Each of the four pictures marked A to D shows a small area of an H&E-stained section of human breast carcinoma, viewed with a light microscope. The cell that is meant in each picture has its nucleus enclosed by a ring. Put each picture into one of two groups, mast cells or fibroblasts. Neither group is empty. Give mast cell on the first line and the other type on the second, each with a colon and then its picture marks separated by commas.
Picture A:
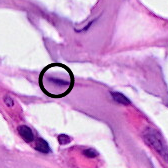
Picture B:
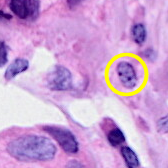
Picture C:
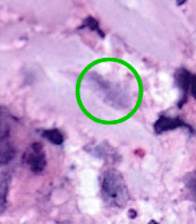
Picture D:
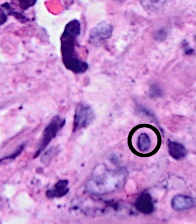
mast cell: B, D
fibroblast: A, C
